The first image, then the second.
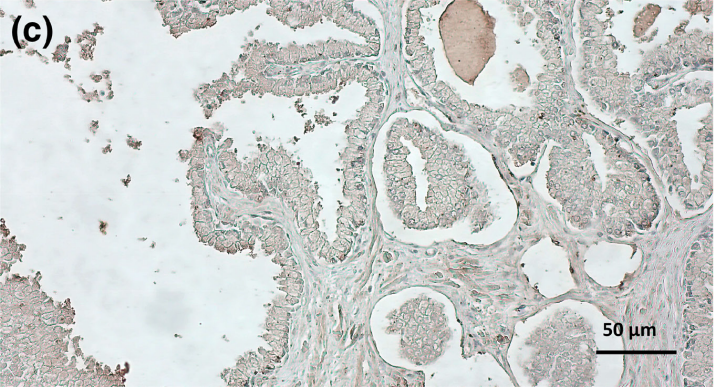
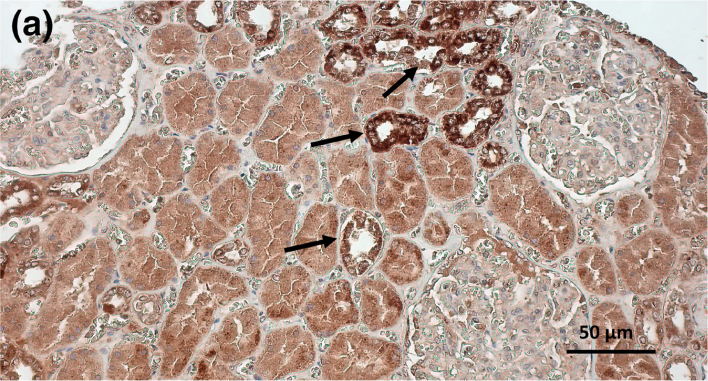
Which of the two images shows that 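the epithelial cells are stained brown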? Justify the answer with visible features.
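First image: glandular epithelium is pale, without brown colour. Second image: tubular epithelial cells are brown, some tubules dark brown.
Hence: the second image.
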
